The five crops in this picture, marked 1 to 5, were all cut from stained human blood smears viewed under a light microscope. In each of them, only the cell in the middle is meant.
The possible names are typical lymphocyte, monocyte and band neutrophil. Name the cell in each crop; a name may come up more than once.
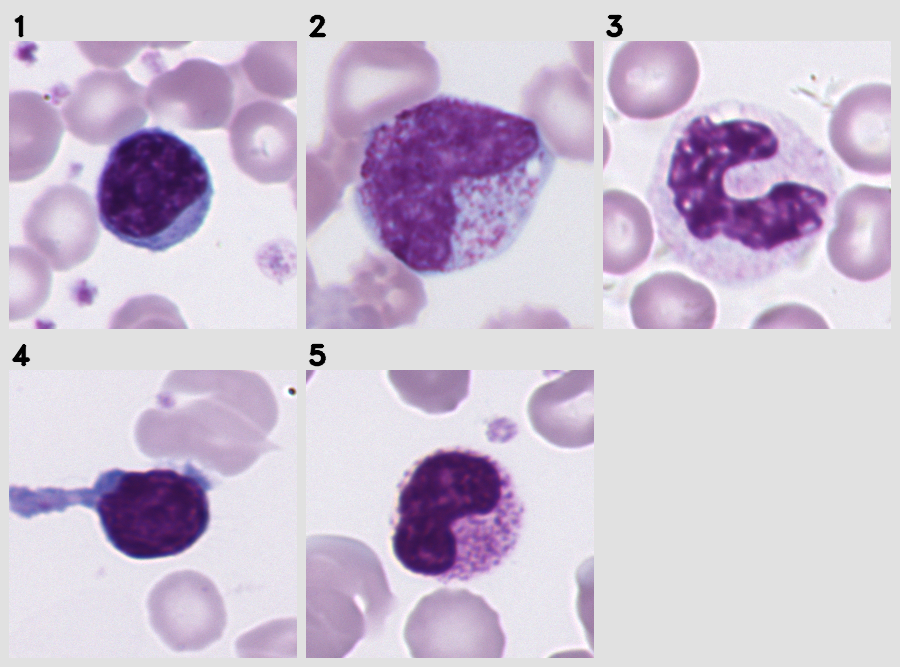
1: typical lymphocyte
2: band neutrophil
3: band neutrophil
4: typical lymphocyte
5: band neutrophil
